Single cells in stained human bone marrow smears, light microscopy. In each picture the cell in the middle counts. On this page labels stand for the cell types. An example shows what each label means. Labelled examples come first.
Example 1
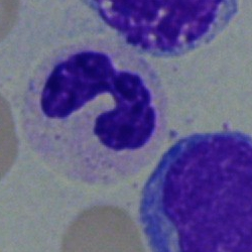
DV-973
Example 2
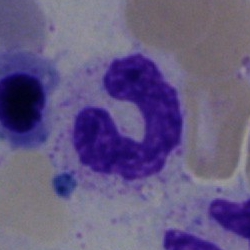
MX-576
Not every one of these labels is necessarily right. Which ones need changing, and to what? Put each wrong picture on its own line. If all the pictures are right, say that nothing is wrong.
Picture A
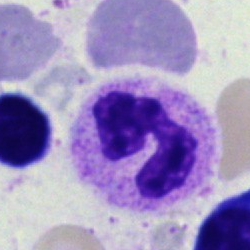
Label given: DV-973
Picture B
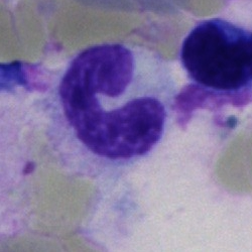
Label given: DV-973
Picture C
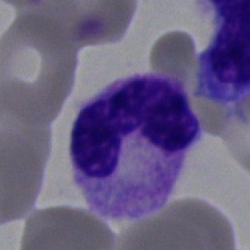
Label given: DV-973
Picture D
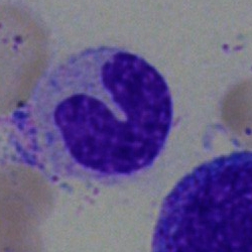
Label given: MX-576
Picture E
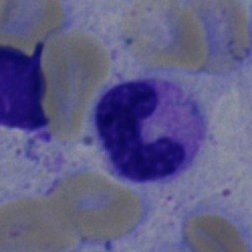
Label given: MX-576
B is labelled DV-973; correct label: MX-576
C is labelled DV-973; correct label: MX-576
